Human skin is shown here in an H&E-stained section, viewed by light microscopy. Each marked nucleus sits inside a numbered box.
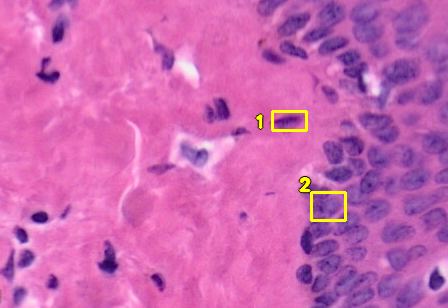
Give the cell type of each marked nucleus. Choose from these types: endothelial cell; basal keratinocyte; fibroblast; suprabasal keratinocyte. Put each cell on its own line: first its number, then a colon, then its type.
1: fibroblast
2: basal keratinocyte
